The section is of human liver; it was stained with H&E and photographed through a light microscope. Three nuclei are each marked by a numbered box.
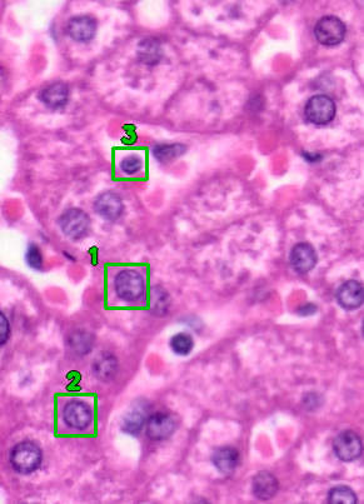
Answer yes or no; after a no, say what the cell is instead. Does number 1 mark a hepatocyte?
Yes.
